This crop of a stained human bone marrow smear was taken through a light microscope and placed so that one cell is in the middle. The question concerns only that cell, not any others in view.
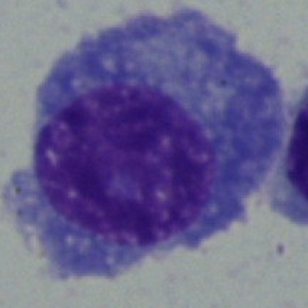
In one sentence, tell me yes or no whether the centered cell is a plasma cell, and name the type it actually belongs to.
Yes, the identity of the central cell is that of a plasma cell.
